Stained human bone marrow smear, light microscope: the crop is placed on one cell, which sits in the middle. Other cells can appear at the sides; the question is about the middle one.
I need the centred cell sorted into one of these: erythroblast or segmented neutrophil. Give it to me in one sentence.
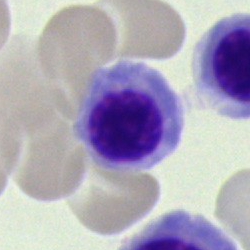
The centrally located cell in the crop is an erythroblast.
